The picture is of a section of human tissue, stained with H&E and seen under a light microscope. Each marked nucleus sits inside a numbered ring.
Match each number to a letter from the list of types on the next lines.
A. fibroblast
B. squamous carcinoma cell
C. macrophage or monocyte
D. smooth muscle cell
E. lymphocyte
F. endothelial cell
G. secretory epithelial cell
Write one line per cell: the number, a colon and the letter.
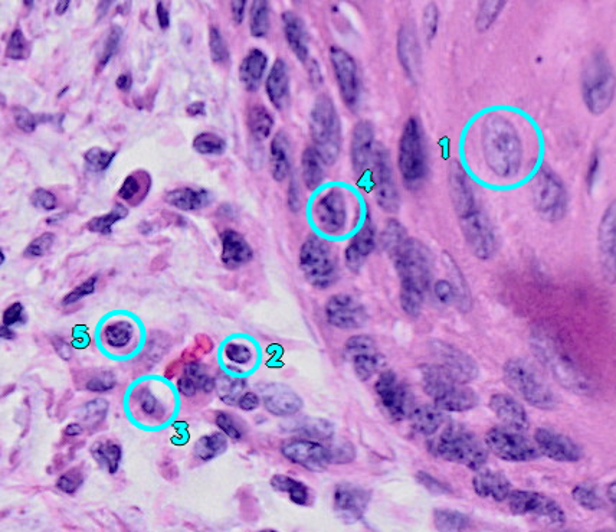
1: B
2: E
3: F
4: B
5: E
